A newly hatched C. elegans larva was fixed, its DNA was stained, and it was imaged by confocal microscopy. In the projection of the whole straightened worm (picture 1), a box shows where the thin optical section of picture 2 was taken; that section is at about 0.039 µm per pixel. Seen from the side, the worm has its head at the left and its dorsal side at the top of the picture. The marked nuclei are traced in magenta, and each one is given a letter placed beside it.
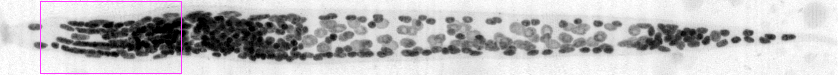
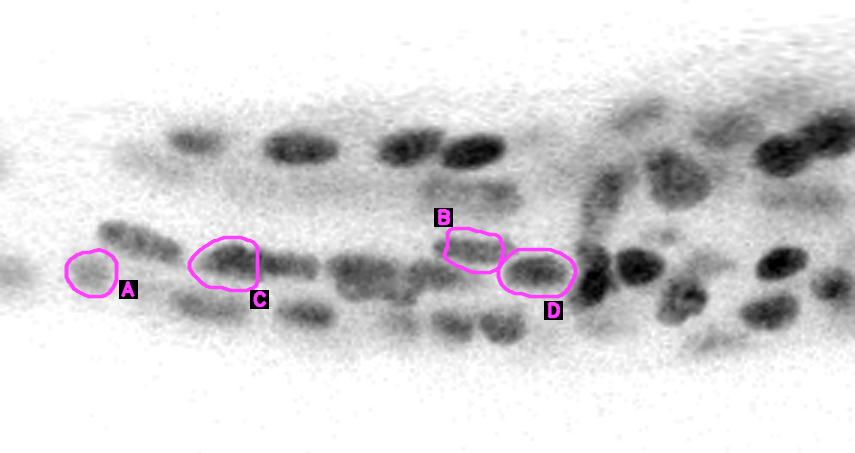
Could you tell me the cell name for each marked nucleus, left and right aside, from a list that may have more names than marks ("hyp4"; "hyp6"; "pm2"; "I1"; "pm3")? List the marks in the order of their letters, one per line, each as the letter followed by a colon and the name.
A: hyp4
B: pm3
C: pm2
D: I1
